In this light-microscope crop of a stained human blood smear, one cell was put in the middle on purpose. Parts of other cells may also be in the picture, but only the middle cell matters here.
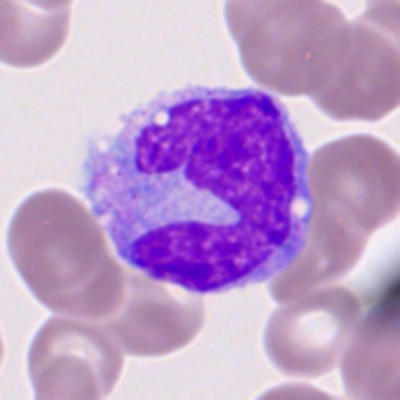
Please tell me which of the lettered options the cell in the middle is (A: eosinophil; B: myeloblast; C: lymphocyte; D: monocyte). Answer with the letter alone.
D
